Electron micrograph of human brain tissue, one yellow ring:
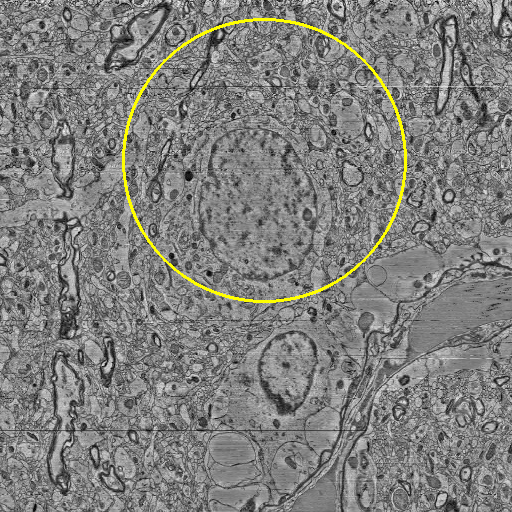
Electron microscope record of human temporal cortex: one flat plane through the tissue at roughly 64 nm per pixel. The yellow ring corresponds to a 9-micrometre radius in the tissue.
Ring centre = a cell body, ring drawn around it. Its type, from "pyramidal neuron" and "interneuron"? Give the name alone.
interneuron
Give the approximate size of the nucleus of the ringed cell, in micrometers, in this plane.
The nucleus is approximately 10 micrometers long by 8 micrometers wide in this plane.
